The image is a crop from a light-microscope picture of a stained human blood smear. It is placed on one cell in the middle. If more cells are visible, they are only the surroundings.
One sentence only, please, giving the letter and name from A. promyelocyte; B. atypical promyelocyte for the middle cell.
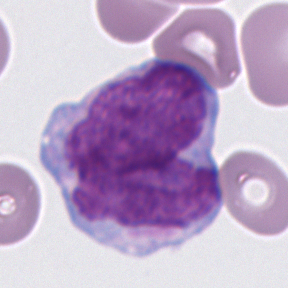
Option B correctly names the cell in the middle as an atypical promyelocyte.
